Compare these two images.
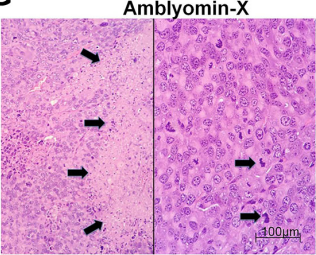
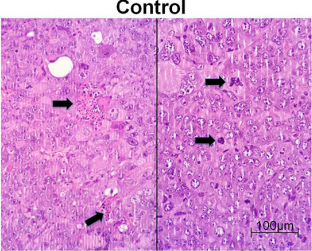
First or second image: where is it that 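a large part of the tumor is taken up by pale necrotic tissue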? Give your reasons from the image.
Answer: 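First image: a broad pale pink zone with few nuclei stretches across the left half. Second image: tumor cells fill the field with only small scattered pale spots. That points to this answer: the first image.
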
